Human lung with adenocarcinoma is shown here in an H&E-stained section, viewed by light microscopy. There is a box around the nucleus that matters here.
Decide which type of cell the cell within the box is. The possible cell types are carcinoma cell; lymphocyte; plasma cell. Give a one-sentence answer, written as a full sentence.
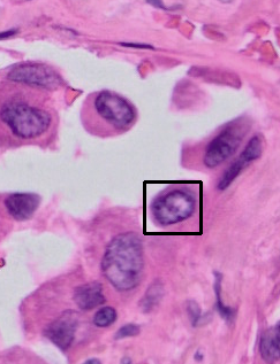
To be brief about it, the cell within the box is a carcinoma cell.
